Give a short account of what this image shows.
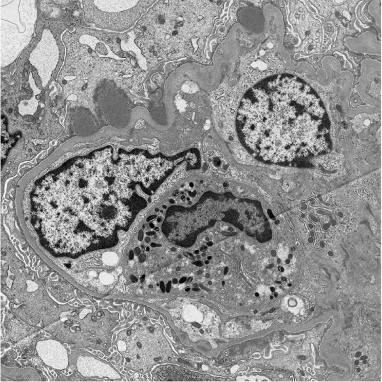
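This electron micrograph shows a glomerular capillary loop whose lumen is filled with cells. Large nuclei with clumped dark chromatin at the rim belong to cells lining and occupying the lumen; one cell lower in the loop has a lobed nucleus and a cytoplasm packed with small dark granules, as expected of a neutrophil. The lining cells look swollen, narrowing the lumen. The grey basement membrane curves around the loop, with podocyte foot processes on its outer side, and dense grey deposits sit on that outer, epithelial side without much thickening of the membrane itself.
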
